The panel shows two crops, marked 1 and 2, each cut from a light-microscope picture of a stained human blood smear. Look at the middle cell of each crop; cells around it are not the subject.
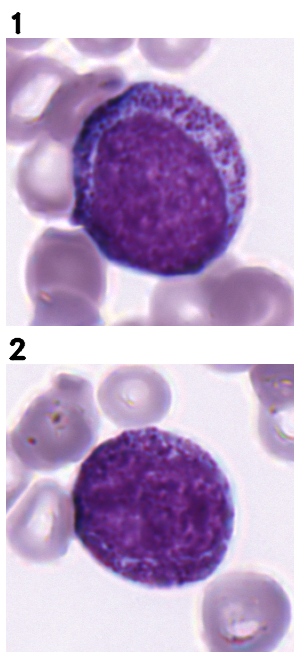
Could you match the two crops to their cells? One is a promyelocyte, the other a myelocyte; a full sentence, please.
In this set, crop 1 shows a promyelocyte and crop 2 shows a myelocyte.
